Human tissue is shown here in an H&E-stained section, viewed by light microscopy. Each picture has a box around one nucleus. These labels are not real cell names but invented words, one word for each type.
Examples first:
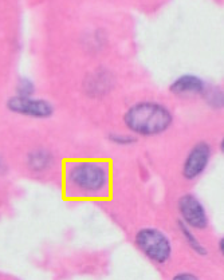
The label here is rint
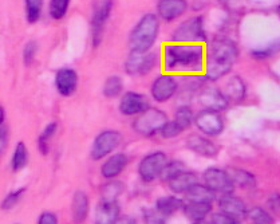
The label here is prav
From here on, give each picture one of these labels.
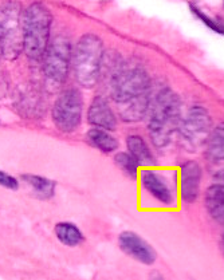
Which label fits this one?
prav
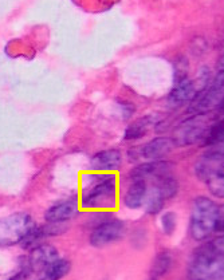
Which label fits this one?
prav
